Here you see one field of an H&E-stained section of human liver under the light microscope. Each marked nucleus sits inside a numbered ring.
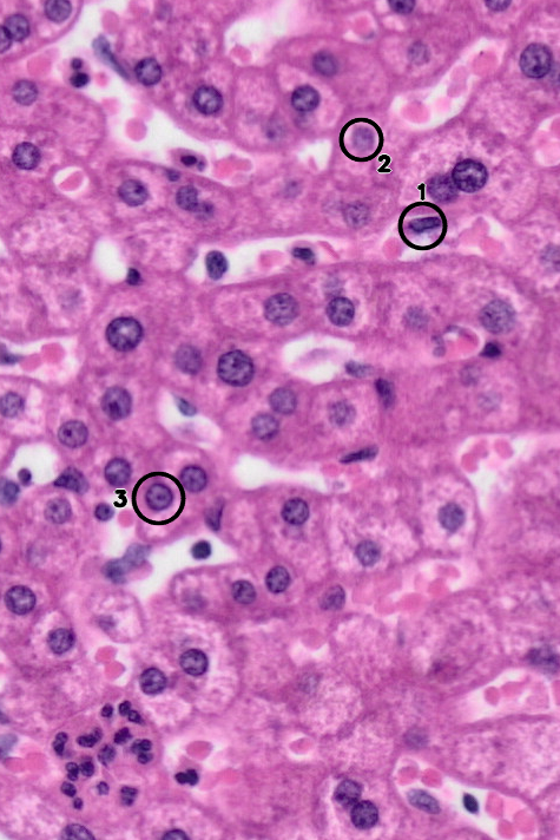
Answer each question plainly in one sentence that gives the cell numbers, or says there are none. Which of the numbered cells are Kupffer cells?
With the exception of cell 1, no marked cell is a Kupffer cell.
